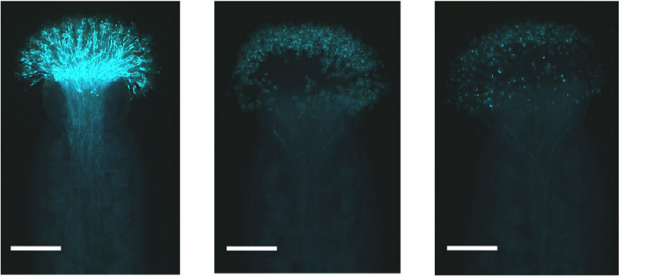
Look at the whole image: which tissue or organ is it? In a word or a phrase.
Pistils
